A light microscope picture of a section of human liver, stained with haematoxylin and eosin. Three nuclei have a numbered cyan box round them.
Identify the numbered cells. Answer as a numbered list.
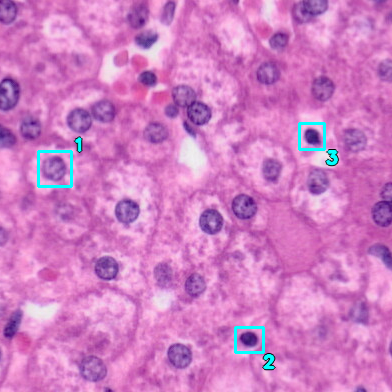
1. hepatocyte
2. lymphocyte
3. lymphocyte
